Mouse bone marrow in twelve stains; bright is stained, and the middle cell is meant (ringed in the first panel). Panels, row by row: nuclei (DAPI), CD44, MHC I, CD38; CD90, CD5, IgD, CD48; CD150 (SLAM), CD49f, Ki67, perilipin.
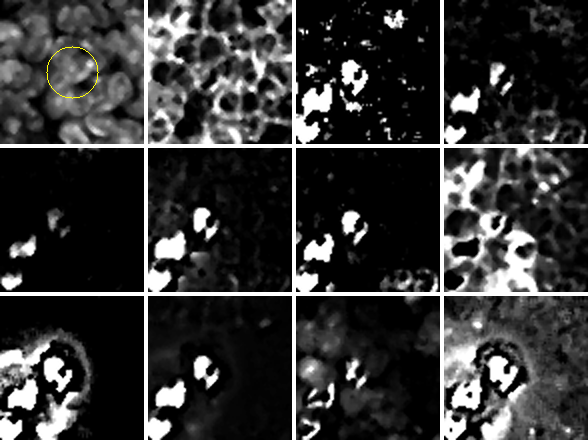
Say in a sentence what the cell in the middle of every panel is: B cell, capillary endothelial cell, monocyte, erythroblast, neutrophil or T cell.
This is a monocyte.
